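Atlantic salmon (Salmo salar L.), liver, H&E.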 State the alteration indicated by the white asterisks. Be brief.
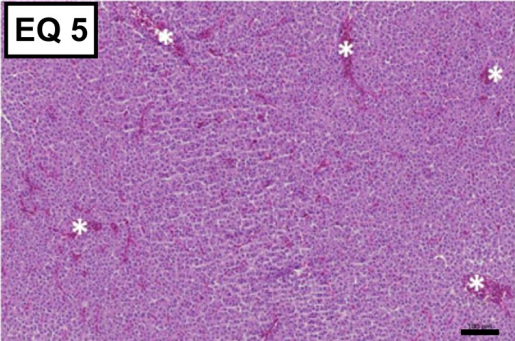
hepatic congestion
